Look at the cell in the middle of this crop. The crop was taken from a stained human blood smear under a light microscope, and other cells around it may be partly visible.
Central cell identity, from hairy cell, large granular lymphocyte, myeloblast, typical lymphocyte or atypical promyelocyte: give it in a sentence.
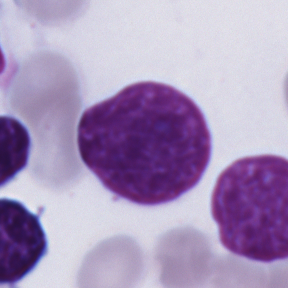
As for the cell in the middle, it is a myeloblast.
